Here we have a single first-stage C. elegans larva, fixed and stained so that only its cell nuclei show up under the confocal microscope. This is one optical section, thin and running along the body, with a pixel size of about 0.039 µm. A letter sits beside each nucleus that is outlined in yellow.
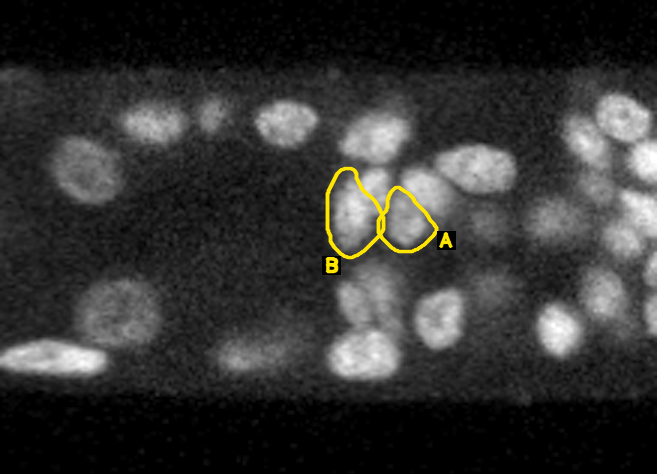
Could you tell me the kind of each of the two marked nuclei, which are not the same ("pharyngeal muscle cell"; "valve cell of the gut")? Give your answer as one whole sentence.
Nucleus A comes from a pharyngeal muscle cell and nucleus B from a valve cell of the gut.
